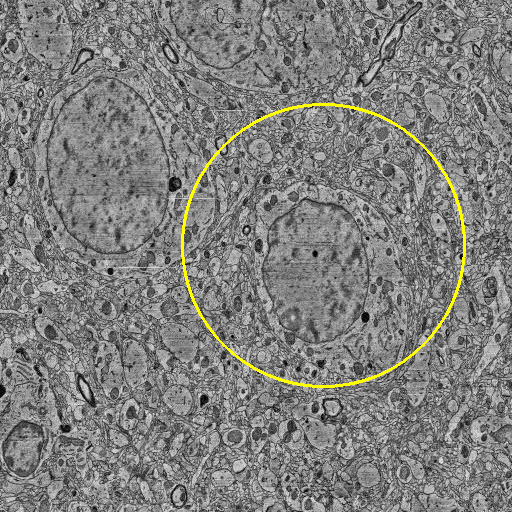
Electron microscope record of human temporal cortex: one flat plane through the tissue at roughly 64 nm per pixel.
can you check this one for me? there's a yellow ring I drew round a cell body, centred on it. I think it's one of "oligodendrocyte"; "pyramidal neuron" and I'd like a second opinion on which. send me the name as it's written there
pyramidal neuron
